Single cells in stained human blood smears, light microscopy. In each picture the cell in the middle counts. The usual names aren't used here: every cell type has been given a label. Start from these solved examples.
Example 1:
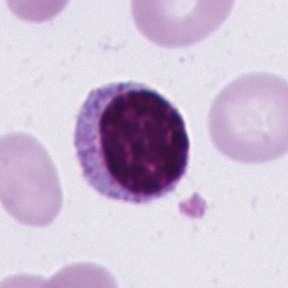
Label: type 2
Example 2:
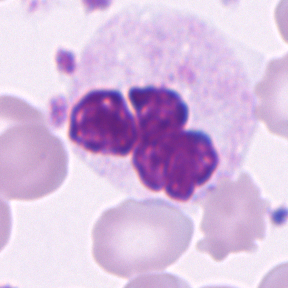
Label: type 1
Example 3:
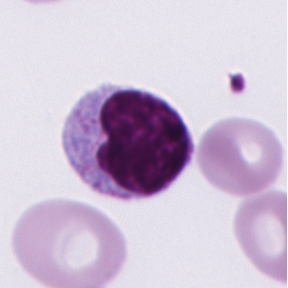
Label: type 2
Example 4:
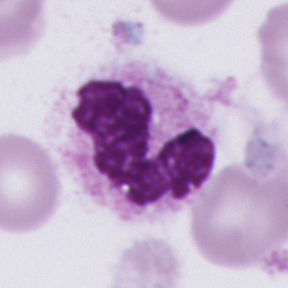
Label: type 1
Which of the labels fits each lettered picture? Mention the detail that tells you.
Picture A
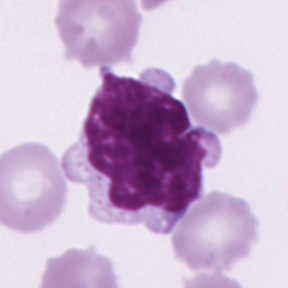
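type 2: The nucleus fills most of the cell.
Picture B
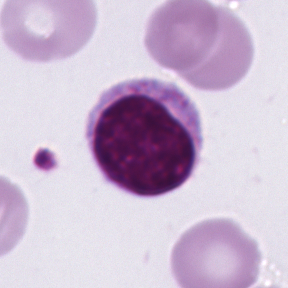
type 2: The cytoplasm is a narrow pale lilac rim that is widest at the top of the cell.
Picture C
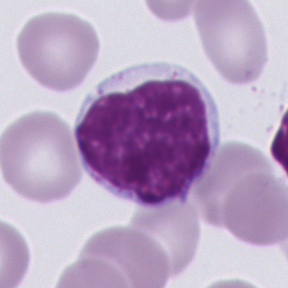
type 2: The cytoplasm forms only a thin rim around the nucleus.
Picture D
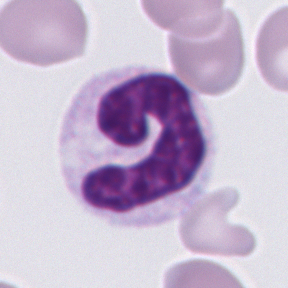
type 1: The nucleus is a curved band whose opening faces left.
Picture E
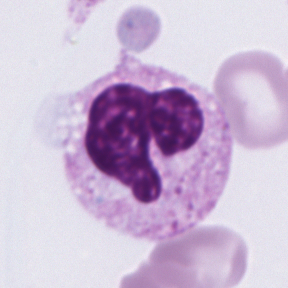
type 1: The cytoplasm is plentiful and pale pinkish-lilac.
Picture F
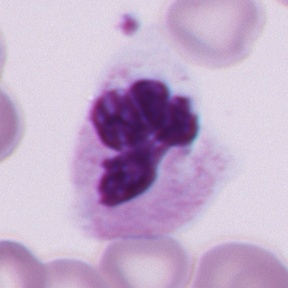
type 1: The cytoplasm is plentiful, widest below the nucleus.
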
